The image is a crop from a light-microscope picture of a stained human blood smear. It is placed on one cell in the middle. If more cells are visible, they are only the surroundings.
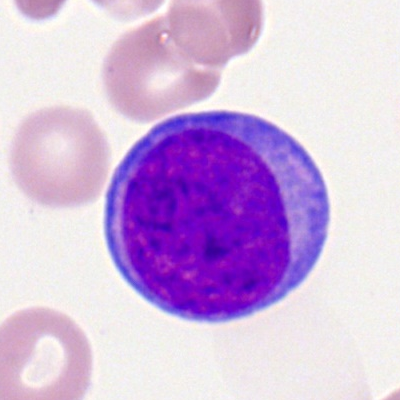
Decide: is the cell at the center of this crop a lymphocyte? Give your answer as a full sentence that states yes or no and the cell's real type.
No, the cell under consideration is a blast instead of a lymphocyte.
